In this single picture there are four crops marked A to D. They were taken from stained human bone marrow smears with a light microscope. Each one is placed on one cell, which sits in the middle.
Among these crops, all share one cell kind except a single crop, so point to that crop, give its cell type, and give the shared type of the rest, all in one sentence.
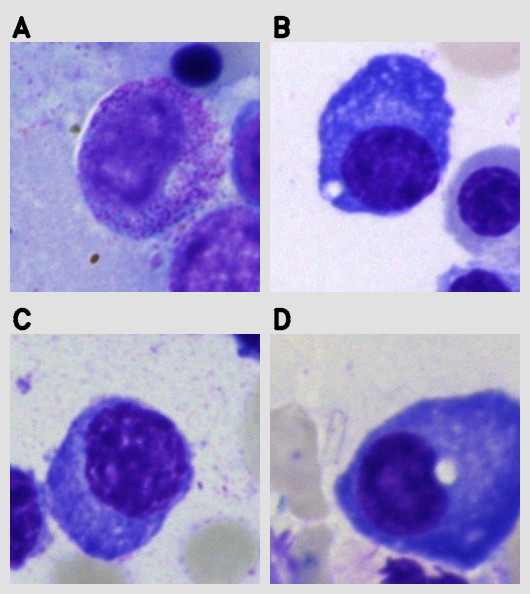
The different crop is crop A, a myelocyte; all the others show plasma cells.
